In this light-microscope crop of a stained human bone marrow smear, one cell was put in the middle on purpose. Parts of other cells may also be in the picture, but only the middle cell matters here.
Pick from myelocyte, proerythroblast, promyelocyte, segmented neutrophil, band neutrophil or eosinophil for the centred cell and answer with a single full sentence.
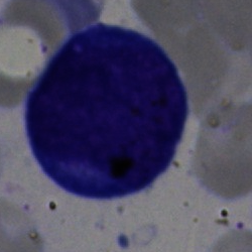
Classification of the middle cell gives a proerythroblast.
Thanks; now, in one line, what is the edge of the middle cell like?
You can see a smooth boundary, with no projections sticking out.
